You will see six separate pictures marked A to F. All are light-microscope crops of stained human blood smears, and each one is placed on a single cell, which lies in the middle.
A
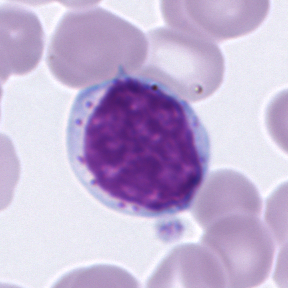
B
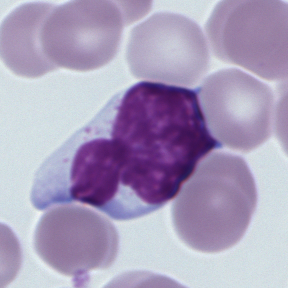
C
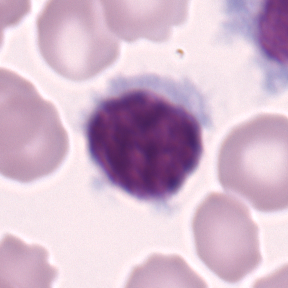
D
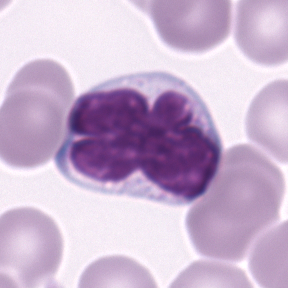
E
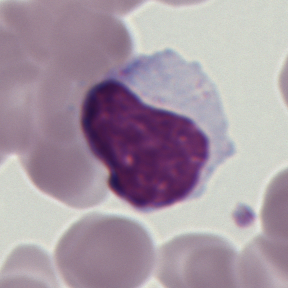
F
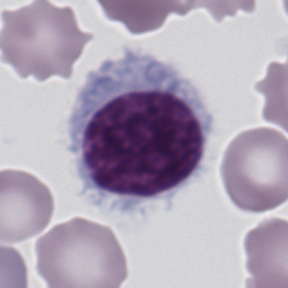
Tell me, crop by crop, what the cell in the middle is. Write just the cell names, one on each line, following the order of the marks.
large granular lymphocyte
large granular lymphocyte
hairy cell
large granular lymphocyte
large granular lymphocyte
hairy cell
